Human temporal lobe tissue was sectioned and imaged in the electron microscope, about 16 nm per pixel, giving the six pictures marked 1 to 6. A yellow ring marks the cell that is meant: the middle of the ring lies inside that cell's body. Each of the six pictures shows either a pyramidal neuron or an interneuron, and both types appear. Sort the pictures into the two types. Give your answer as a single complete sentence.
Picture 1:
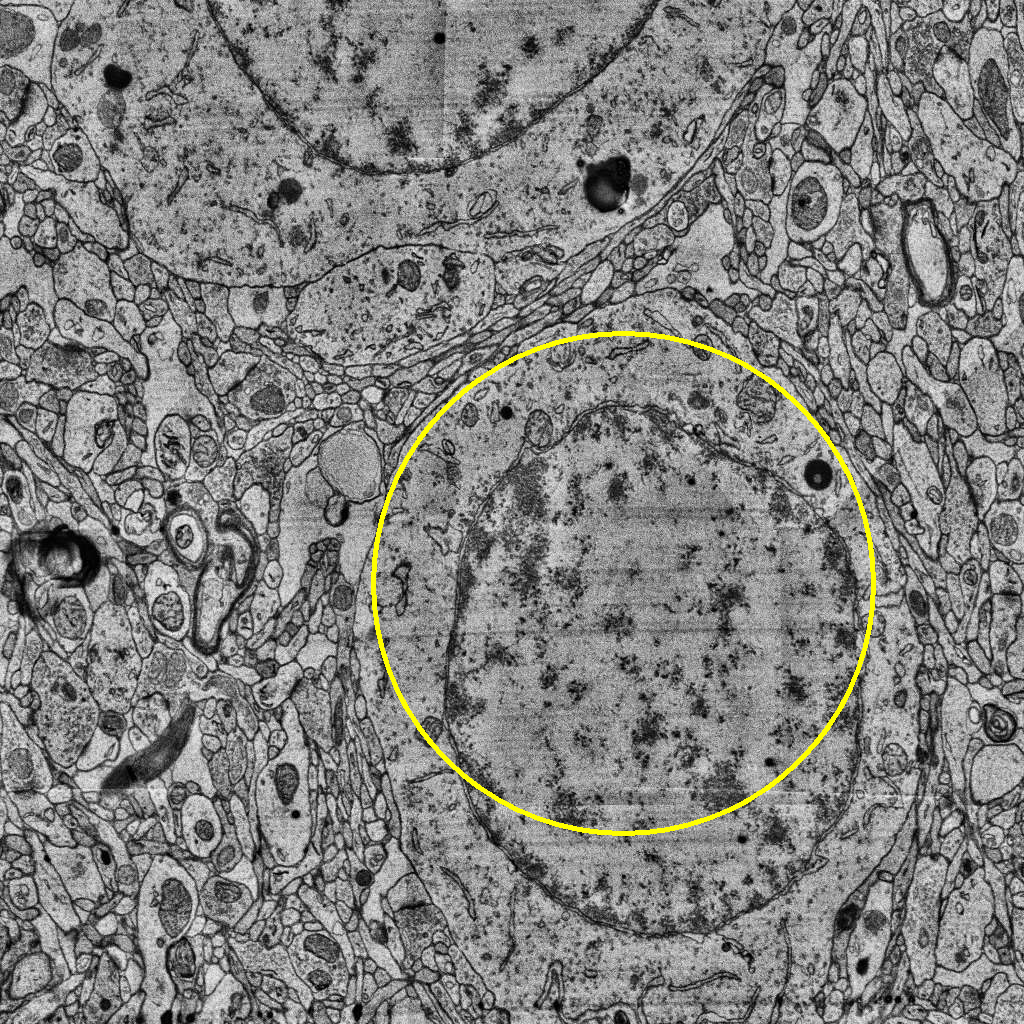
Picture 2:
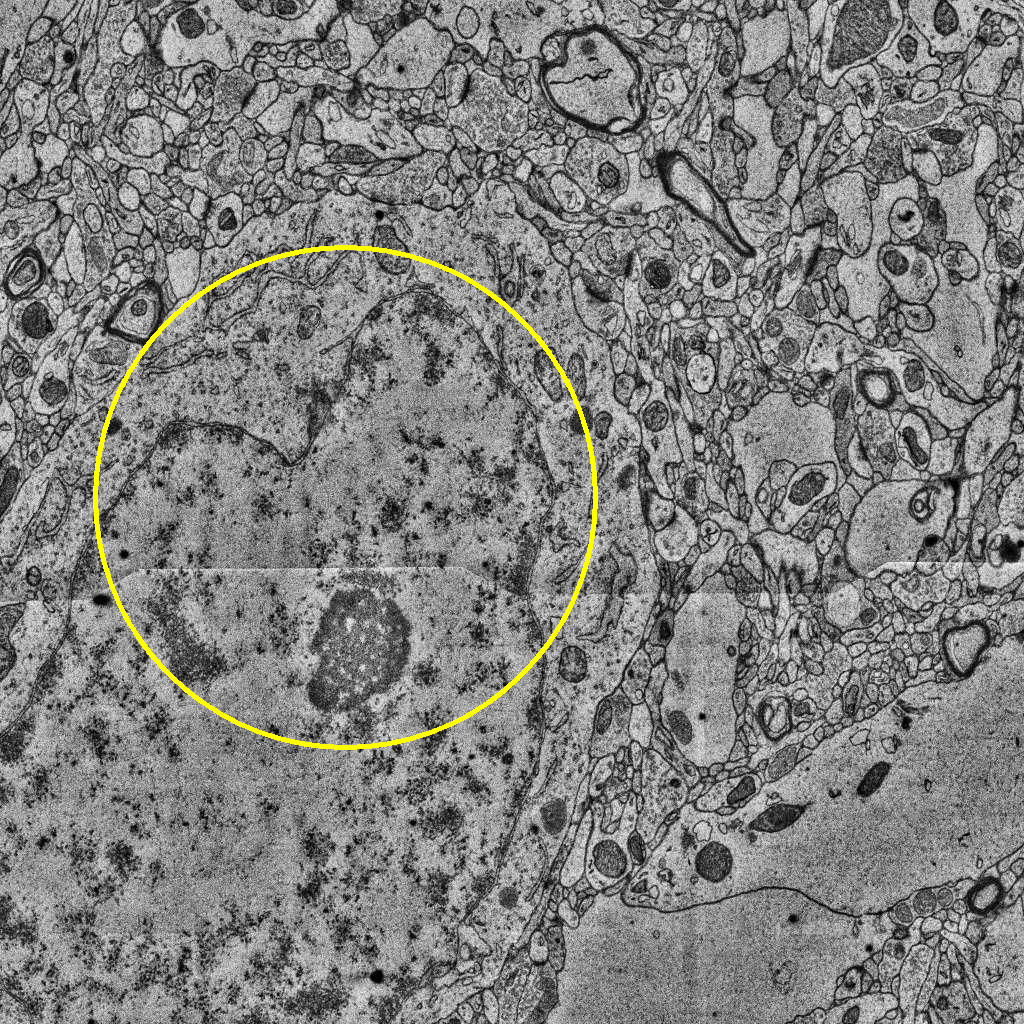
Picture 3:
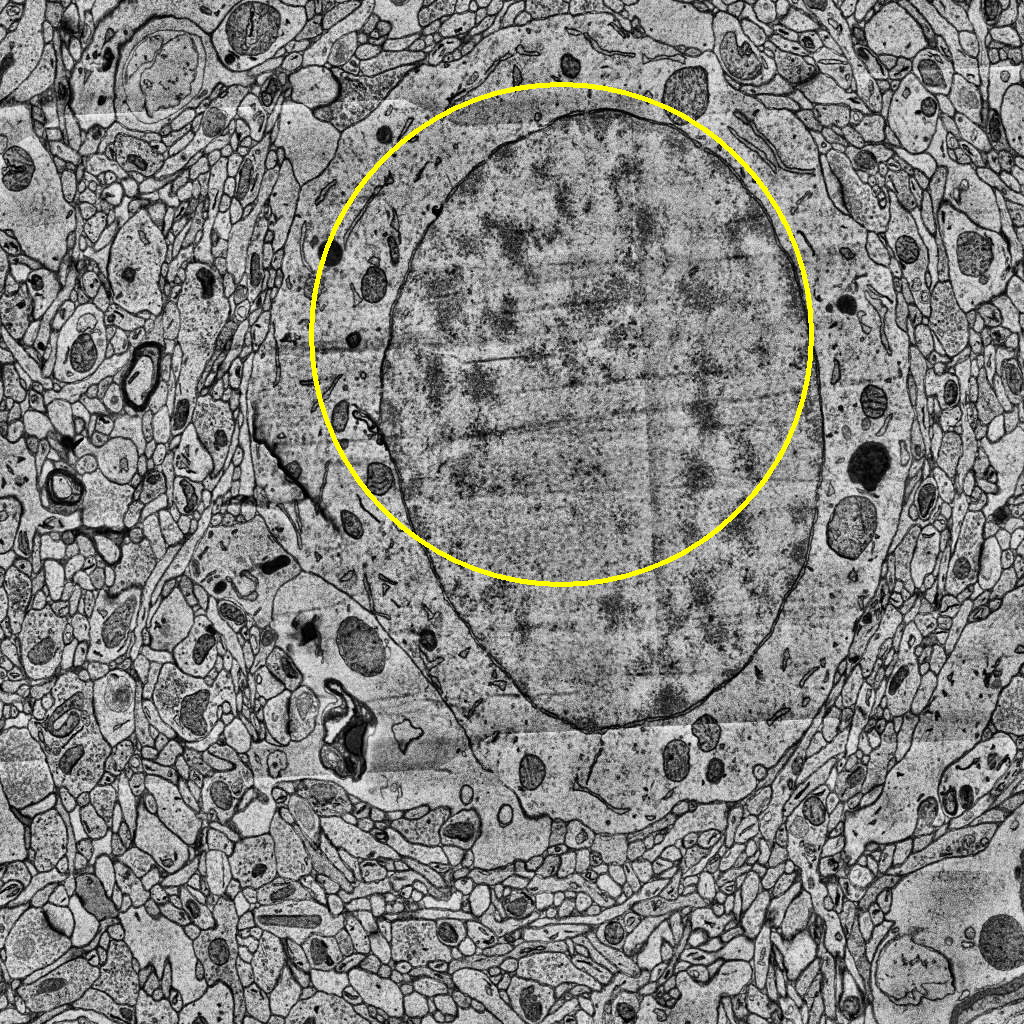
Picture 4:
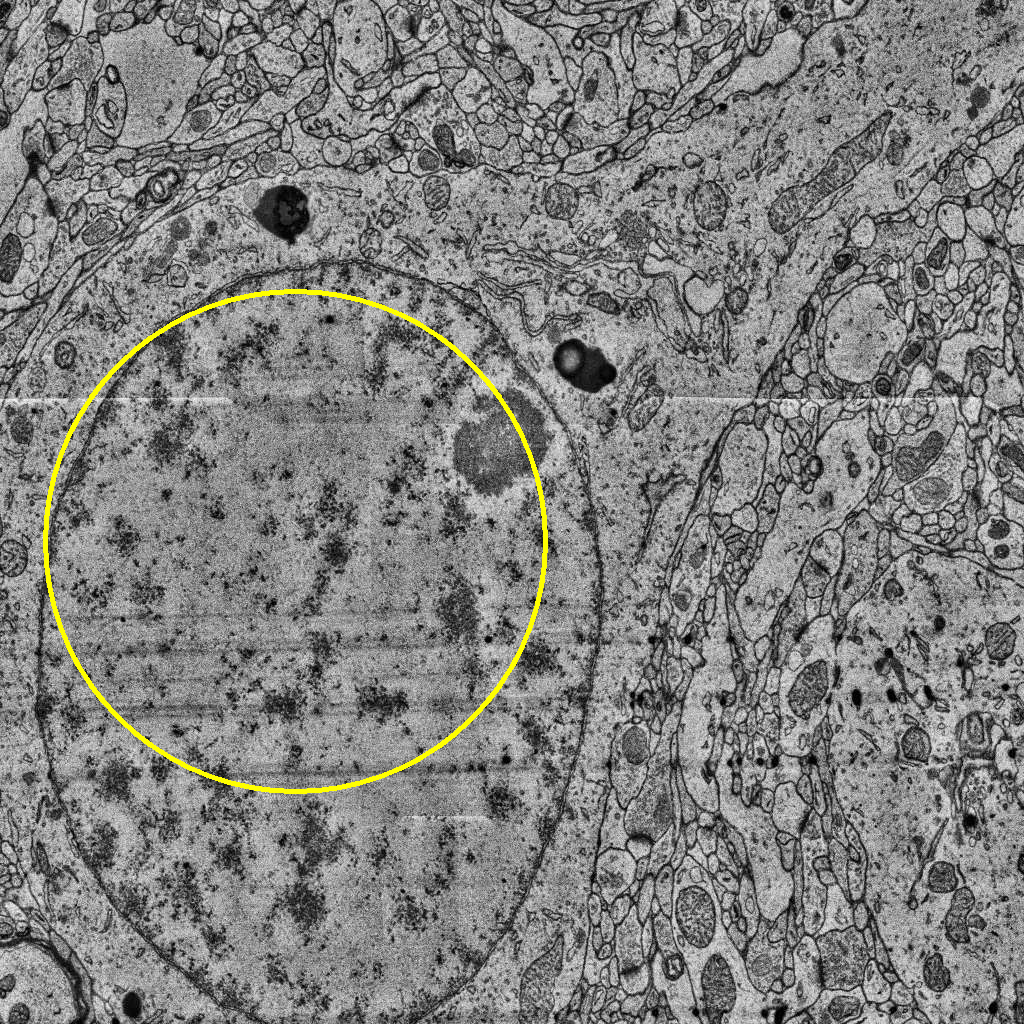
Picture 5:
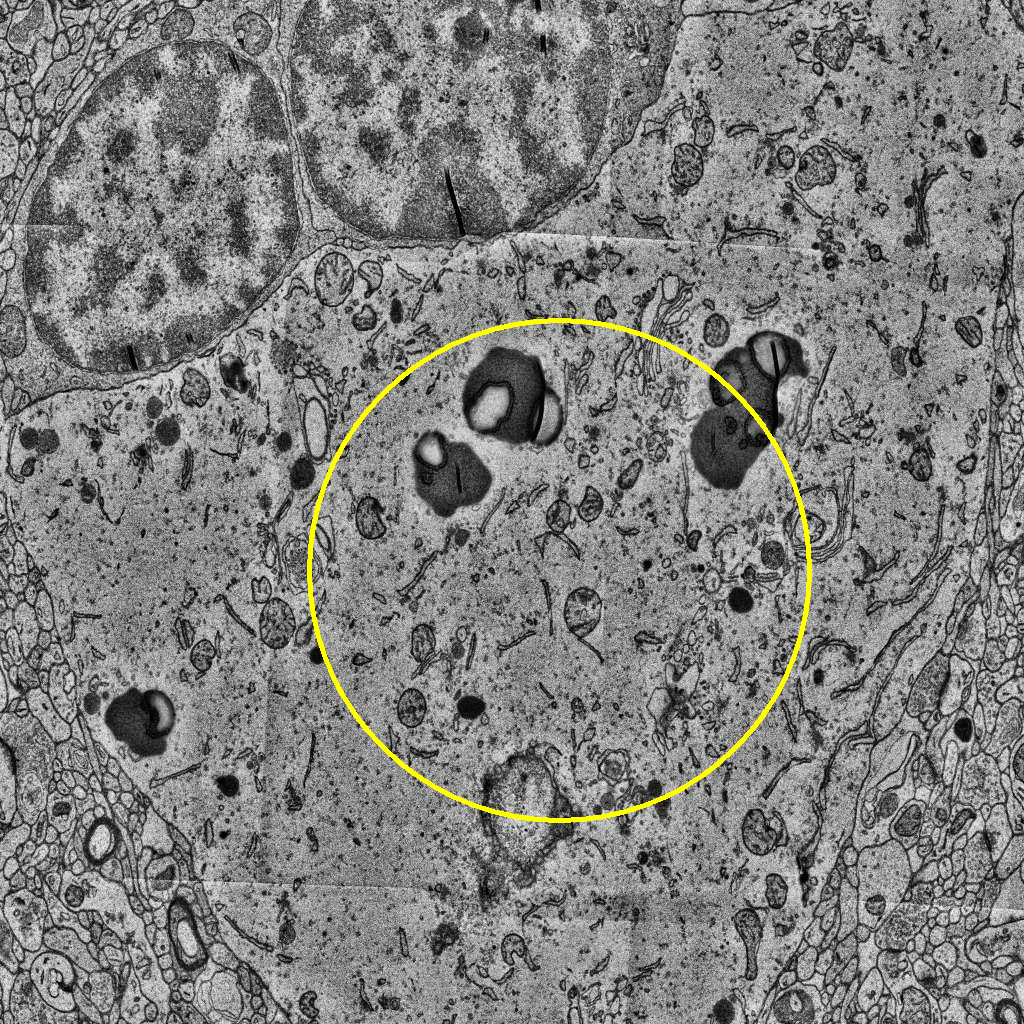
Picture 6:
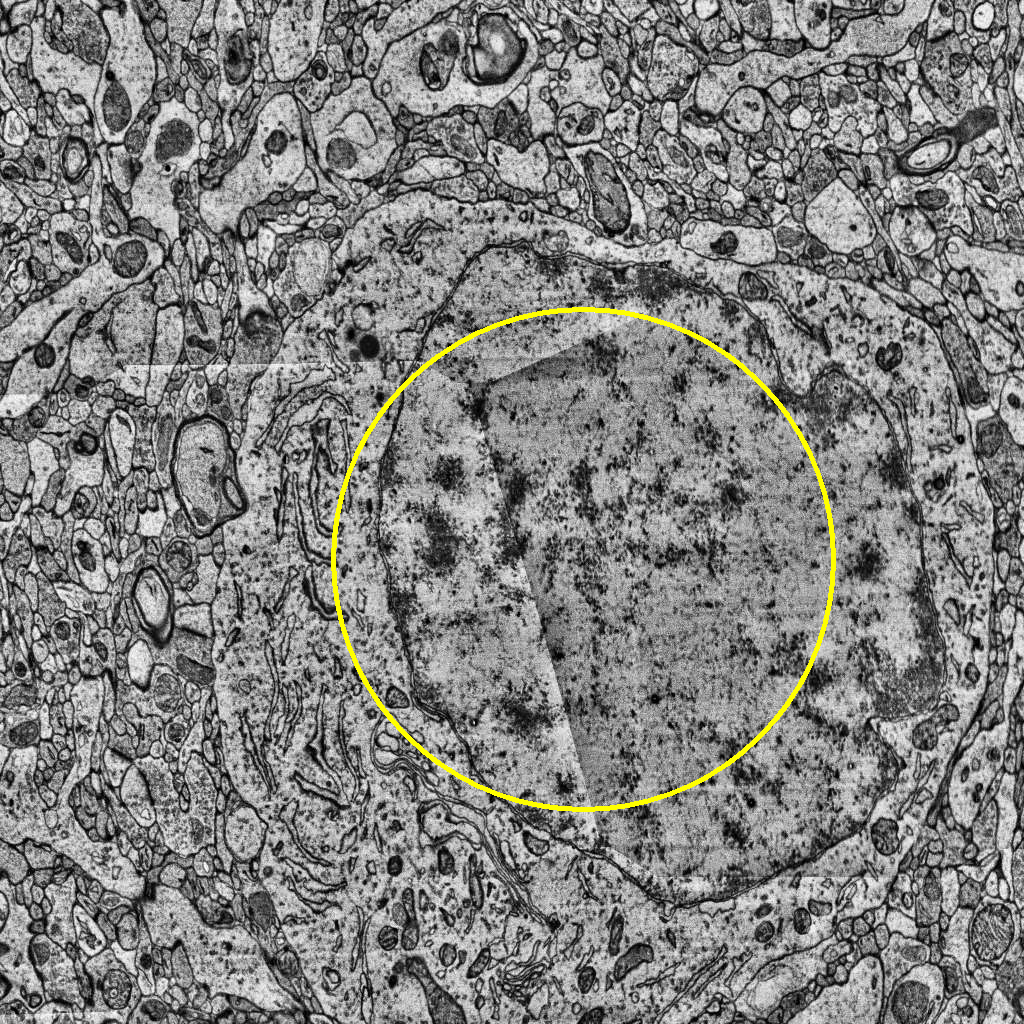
Pictures 1, 3, 4 and 5 show pyramidal neurons, while pictures 2 and 6 show interneurons.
